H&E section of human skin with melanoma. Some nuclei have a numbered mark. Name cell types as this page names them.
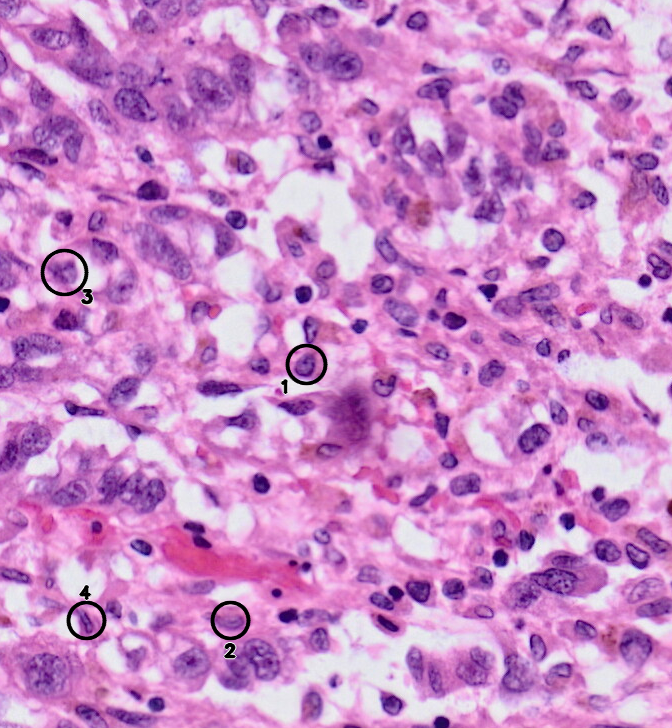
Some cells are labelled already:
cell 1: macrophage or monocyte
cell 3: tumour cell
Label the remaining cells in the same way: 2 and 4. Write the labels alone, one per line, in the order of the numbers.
macrophage or monocyte
macrophage or monocyte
